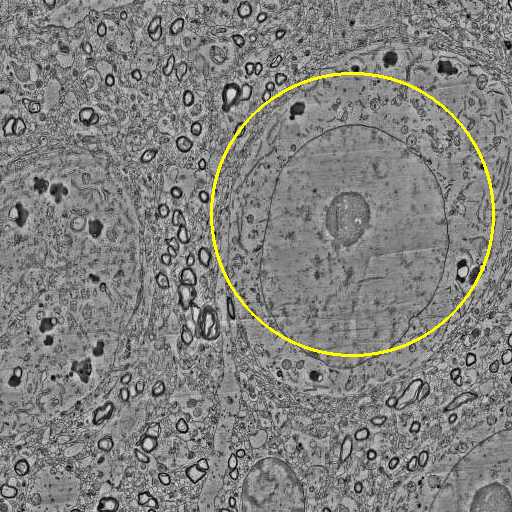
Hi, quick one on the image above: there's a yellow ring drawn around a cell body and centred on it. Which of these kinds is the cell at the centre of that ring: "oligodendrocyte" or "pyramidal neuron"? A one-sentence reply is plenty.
The cell at the centre of the ring is a pyramidal neuron.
